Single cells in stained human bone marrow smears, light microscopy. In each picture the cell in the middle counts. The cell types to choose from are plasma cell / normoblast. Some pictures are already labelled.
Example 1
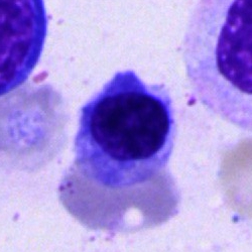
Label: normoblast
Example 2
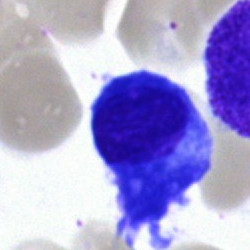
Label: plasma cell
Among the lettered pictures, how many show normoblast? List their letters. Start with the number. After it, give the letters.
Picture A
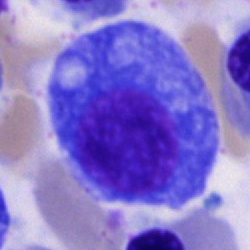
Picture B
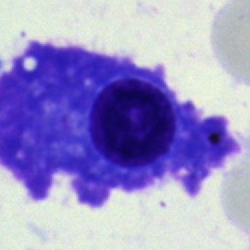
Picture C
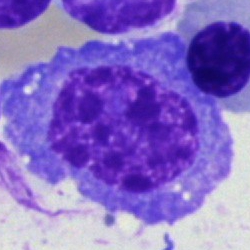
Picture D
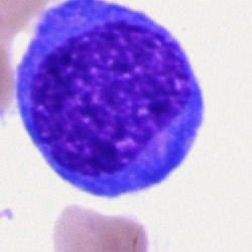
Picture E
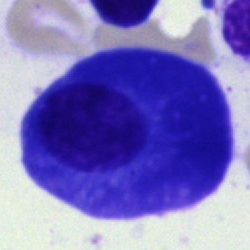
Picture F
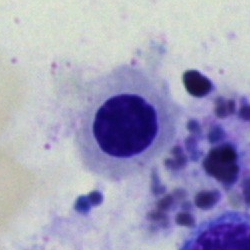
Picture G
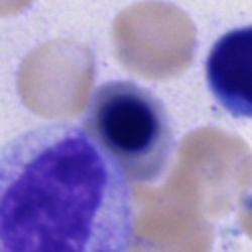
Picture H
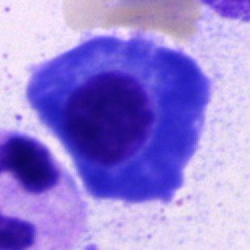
3: D, F, G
